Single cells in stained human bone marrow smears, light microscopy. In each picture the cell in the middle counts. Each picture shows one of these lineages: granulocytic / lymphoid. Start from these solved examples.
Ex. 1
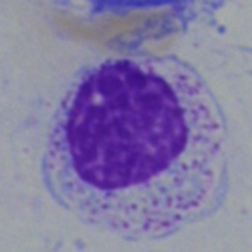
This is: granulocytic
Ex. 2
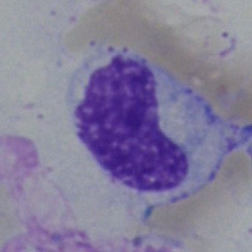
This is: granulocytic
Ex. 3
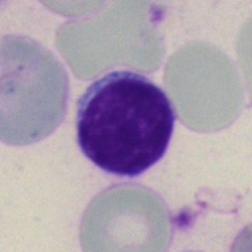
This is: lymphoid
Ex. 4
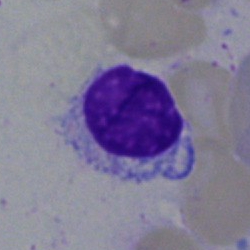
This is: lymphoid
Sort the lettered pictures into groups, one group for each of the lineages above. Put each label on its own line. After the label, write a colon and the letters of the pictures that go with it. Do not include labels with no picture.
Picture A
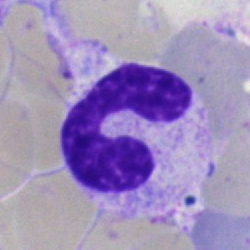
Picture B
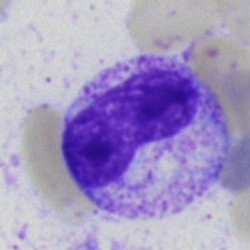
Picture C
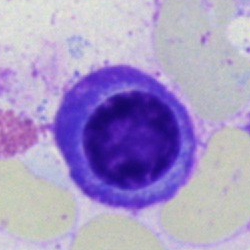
granulocytic: A, B
lymphoid: C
